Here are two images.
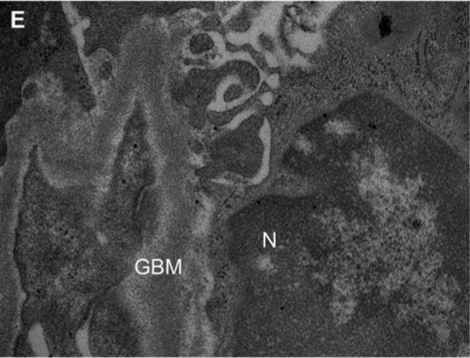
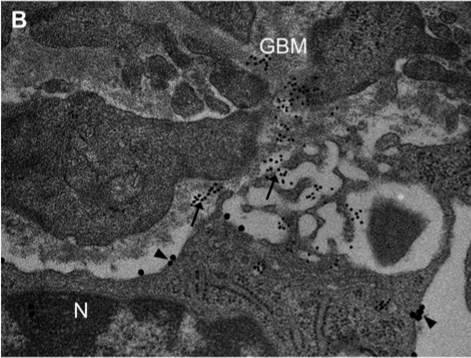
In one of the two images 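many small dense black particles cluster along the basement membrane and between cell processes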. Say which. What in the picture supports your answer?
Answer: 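First image: only a few scattered tiny dots over the basement membrane and cells. Second image: numerous clusters of small black dots near the basement membrane and between folded cell processes, plus larger dots marked by arrowheads. The answer: the second image.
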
